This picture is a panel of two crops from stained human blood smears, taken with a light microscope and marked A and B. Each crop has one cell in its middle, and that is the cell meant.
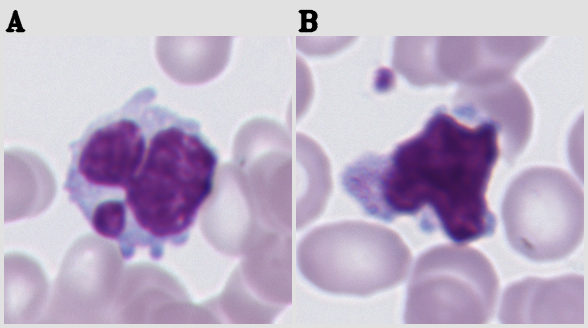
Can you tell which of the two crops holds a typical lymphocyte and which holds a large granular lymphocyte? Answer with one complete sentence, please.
Crop B shows a typical lymphocyte, and crop A shows a large granular lymphocyte.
